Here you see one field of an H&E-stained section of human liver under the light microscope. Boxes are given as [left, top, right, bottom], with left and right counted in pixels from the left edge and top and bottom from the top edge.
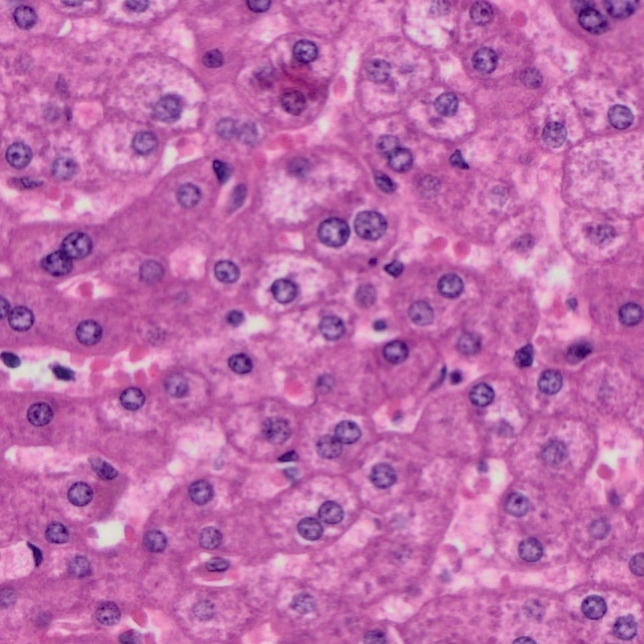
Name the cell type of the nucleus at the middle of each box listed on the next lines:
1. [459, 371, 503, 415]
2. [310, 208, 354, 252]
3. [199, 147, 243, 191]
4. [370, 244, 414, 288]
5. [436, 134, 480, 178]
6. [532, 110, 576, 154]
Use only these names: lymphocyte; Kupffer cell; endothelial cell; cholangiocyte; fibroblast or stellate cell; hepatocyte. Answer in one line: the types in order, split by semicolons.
hepatocyte; hepatocyte; fibroblast or stellate cell; fibroblast or stellate cell; endothelial cell; hepatocyte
